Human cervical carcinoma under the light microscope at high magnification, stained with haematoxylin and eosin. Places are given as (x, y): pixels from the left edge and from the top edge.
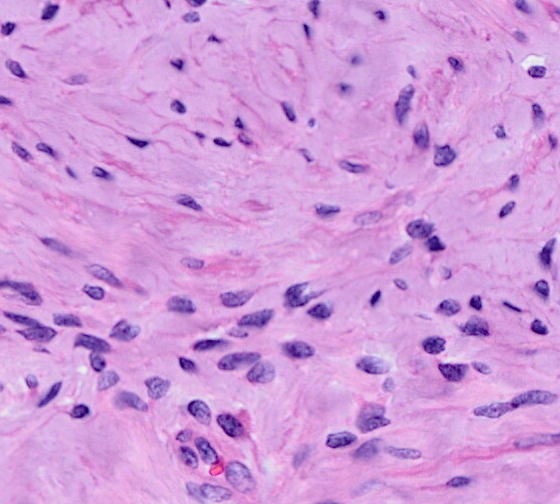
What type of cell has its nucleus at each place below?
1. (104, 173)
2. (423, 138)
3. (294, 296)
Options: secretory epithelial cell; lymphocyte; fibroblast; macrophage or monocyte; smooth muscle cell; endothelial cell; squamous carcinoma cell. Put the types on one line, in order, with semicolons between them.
fibroblast; smooth muscle cell; fibroblast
